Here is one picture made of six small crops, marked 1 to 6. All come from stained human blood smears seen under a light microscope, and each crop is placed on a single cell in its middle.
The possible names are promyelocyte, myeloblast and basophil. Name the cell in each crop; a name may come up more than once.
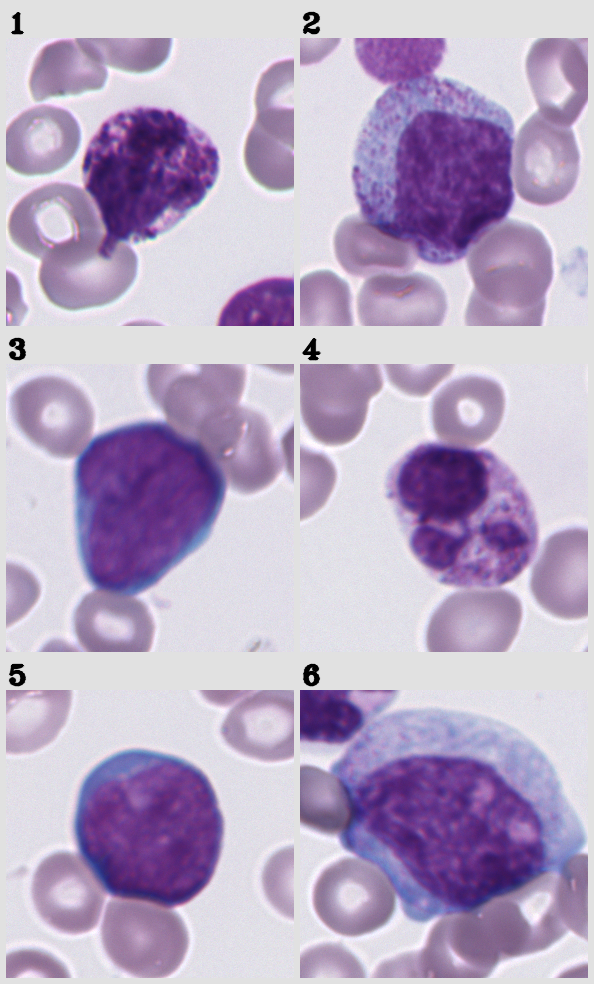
1: basophil
2: promyelocyte
3: myeloblast
4: basophil
5: myeloblast
6: promyelocyte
